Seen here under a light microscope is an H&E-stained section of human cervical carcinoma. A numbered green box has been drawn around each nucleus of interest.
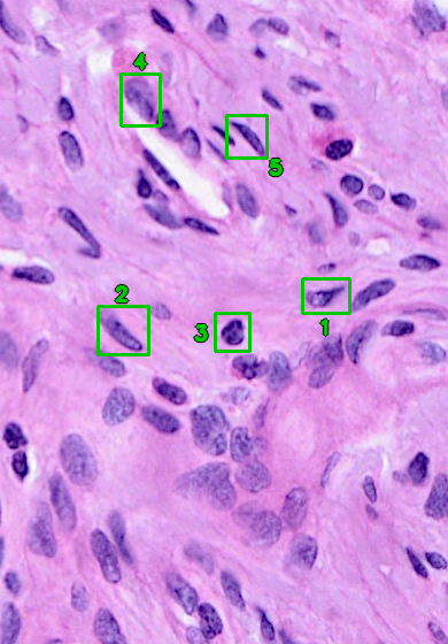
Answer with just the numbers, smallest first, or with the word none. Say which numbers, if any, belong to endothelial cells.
4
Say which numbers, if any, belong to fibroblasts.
1, 2, 5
